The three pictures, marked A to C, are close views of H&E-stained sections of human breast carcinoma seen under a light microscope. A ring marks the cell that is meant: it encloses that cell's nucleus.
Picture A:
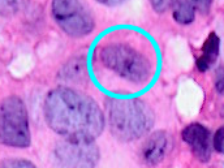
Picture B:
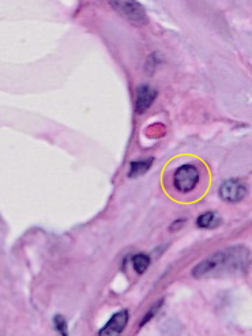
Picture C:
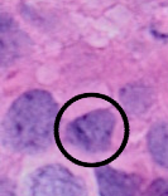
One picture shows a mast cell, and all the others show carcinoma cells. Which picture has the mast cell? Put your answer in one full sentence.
Picture B shows the mast cell.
